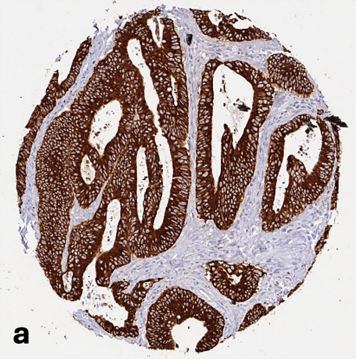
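The glands have open lumens, some containing pale debris, and are lined by crowded, stratified elongated nuclei. The tumour cells are intensely stained brown throughout their cytoplasm. Between the glands lies pale fibrous stroma with scattered blue nuclei, which is unstained.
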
